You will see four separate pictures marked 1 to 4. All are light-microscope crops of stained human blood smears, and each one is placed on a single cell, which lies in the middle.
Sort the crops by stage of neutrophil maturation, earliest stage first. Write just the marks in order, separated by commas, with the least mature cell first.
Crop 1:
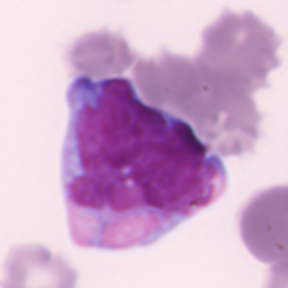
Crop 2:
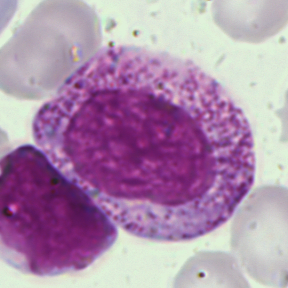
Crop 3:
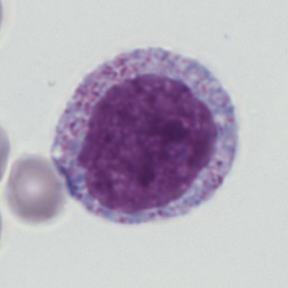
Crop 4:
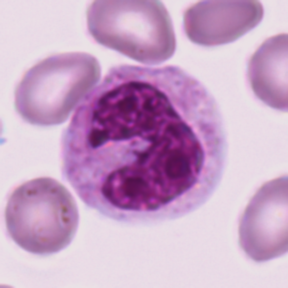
1, 3, 2, 4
